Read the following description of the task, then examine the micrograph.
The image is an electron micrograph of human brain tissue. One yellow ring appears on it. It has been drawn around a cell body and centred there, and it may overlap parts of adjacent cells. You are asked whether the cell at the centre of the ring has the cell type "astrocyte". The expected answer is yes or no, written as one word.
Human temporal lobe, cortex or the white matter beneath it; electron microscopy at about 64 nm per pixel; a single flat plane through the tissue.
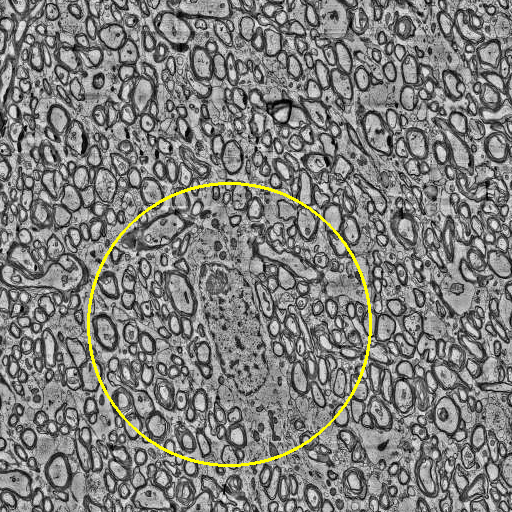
yes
